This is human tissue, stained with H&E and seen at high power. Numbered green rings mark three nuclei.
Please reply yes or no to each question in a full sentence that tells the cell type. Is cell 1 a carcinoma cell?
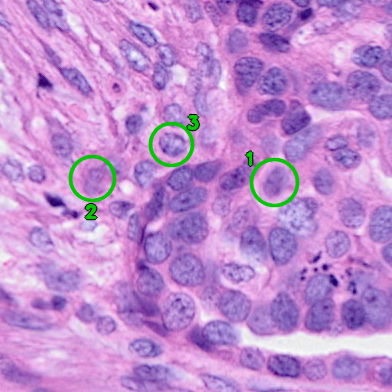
Yes, the number 1 belongs to a carcinoma cell.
